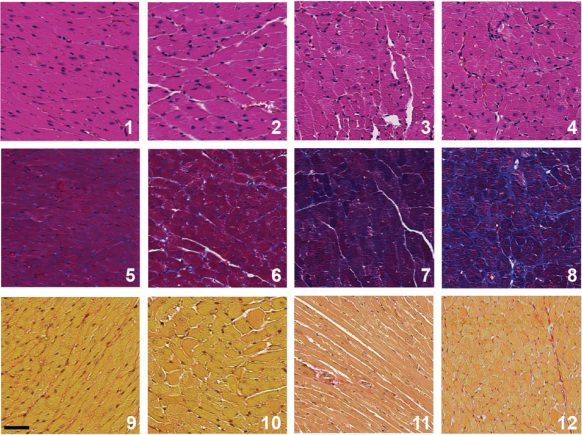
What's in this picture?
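Heart muscle tissue in twelve small fields, arranged in three rows of four. The tissue consists of long cardiac muscle fibres that lie roughly parallel, each with dark, oval nuclei set along its length. In the top row the fibres stain pink and the nuclei blue-purple. In the middle row the fibres stain deep purple-red, and some fields show blue-stained fibrous material between the fibres, most heavily in the rightmost field. In the bottom row the fibres stain yellow, and thin red strands run between them. In several fields the fibres are separated by white clefts.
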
